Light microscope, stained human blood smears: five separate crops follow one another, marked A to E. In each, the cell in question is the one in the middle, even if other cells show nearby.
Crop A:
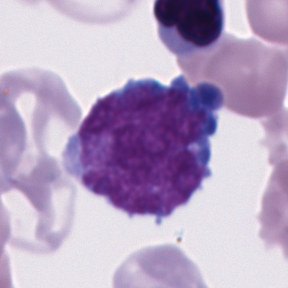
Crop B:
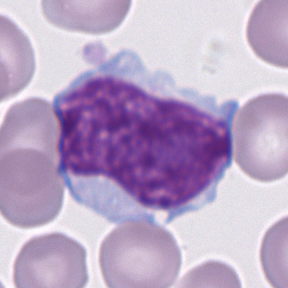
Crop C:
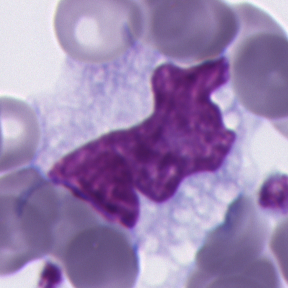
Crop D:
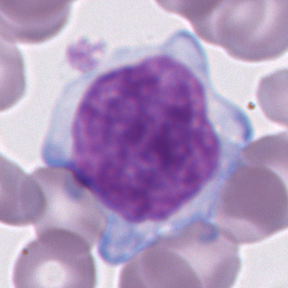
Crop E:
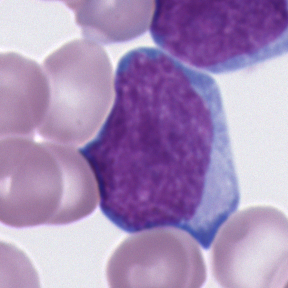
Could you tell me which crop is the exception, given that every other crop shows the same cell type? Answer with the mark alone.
C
